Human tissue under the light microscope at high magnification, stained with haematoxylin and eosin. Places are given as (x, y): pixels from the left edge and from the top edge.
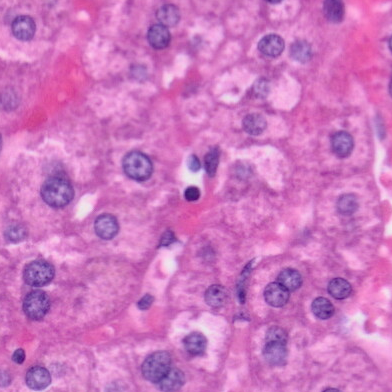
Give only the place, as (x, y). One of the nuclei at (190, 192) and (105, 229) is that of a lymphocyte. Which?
(190, 192)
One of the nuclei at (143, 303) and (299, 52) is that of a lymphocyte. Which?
(143, 303)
